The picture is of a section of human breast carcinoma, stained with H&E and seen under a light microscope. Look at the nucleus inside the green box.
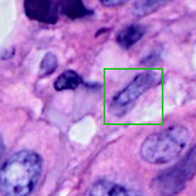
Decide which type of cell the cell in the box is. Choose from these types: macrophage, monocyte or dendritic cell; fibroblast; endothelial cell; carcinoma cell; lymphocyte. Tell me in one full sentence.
To be brief about it, the cell in the box is a macrophage, monocyte or dendritic cell.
